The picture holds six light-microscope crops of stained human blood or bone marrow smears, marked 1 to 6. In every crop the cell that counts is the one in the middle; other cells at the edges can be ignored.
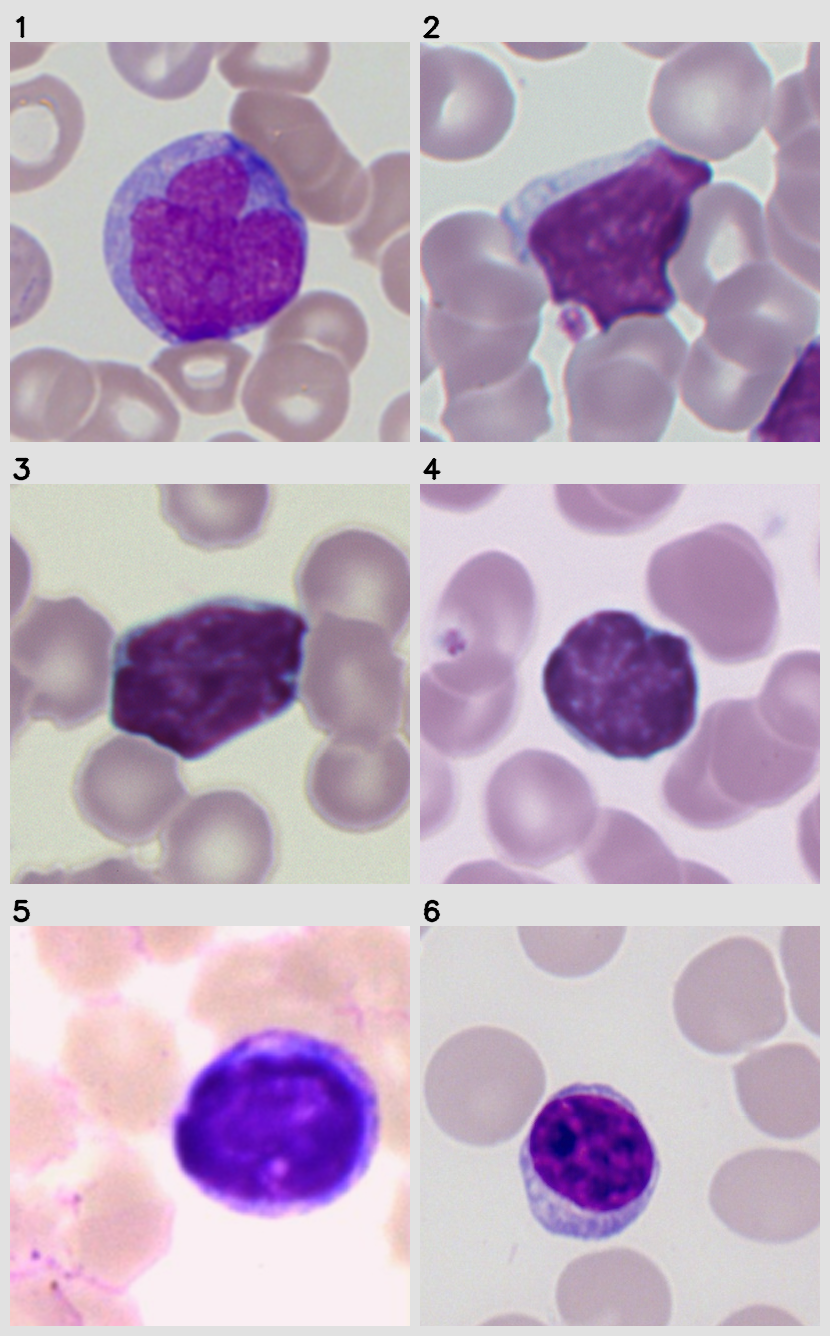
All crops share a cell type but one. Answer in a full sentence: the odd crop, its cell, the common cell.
The different one is crop 1, which is a blast; the rest all show lymphocytes.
